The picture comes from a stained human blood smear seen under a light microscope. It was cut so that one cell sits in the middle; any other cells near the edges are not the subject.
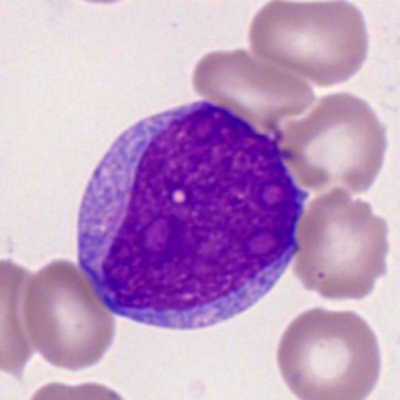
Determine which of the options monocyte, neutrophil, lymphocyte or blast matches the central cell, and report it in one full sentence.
To answer, the cell in the center of the crop is a blast.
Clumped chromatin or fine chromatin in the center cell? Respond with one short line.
The nuclear chromatin is fine, showing no coarse aggregates.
